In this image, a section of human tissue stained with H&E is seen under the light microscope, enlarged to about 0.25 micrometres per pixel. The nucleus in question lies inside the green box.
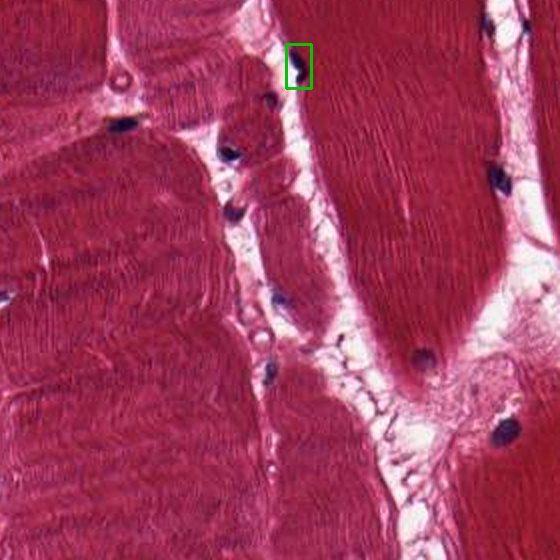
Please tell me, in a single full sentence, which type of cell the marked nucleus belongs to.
The owner of the marked nucleus is a skeletal muscle fibre.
